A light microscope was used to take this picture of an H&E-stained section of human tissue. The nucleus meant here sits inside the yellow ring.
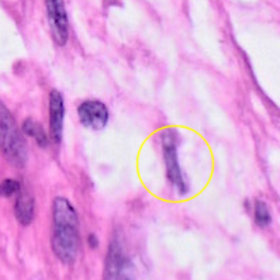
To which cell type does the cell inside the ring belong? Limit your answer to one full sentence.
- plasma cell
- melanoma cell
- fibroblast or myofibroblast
The category to which the cell inside the ring belongs is that of a fibroblast or myofibroblast.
